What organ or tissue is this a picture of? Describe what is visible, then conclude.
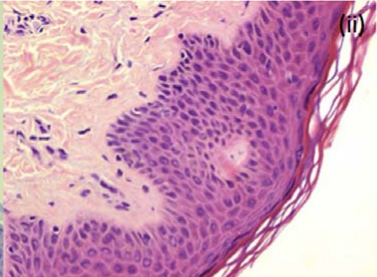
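A stratified squamous epithelium of many cell layers with a flaky, layered surface. Epithelial ridges project down into an underlying pink fibrous connective tissue with scattered nuclei.
Skin.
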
